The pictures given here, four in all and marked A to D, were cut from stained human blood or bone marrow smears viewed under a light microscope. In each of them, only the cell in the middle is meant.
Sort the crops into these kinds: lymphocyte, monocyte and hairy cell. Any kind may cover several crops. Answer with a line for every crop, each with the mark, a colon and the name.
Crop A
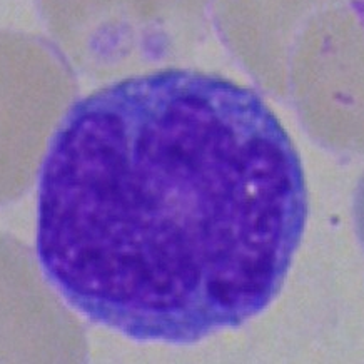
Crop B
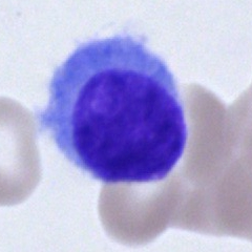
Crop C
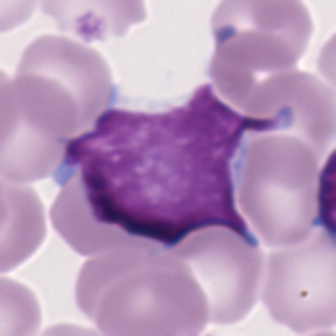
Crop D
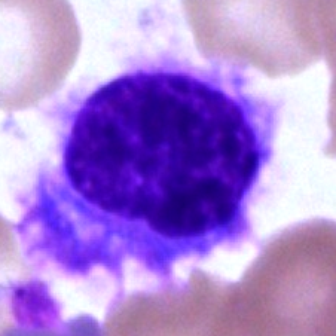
A: monocyte
B: hairy cell
C: lymphocyte
D: hairy cell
